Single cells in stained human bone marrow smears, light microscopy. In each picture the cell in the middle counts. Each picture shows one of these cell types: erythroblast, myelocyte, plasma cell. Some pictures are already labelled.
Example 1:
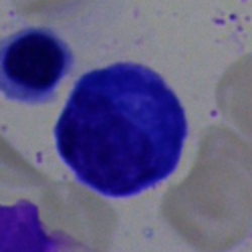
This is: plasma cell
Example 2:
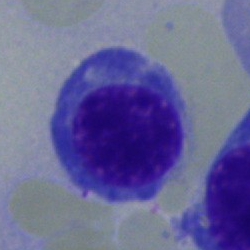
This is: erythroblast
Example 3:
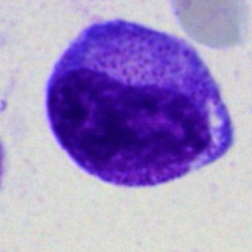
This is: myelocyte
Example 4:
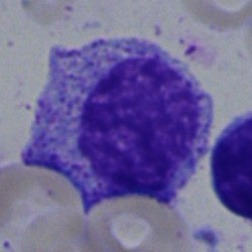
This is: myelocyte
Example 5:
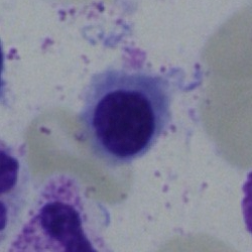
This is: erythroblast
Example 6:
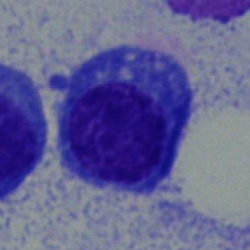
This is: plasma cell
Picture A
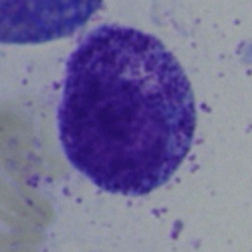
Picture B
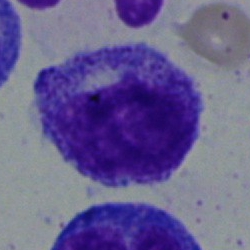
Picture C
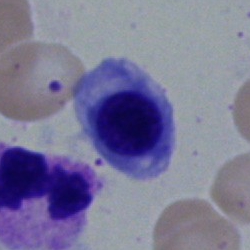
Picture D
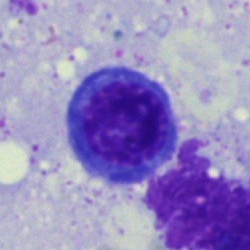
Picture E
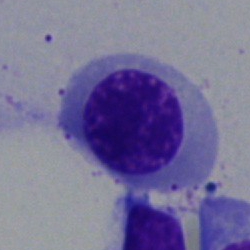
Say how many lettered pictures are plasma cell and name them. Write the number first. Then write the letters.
0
